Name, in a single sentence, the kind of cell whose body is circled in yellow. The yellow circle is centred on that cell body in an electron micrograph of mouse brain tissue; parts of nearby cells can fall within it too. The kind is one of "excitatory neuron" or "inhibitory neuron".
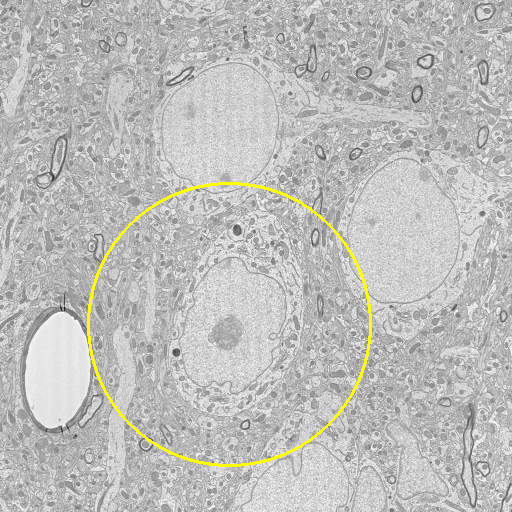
The circled cell body belongs to an inhibitory neuron.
